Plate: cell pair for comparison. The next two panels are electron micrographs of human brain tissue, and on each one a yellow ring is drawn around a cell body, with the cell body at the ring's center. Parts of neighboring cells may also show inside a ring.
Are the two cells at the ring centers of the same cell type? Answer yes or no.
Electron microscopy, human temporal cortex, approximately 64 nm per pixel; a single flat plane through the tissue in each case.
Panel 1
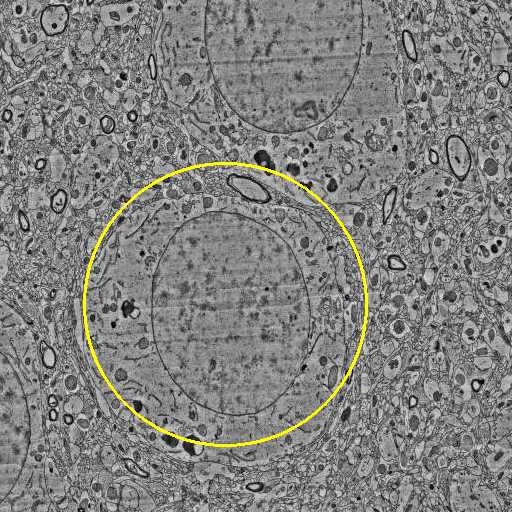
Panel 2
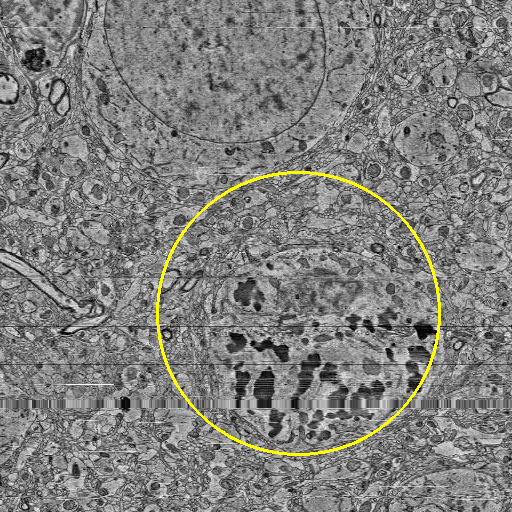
no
